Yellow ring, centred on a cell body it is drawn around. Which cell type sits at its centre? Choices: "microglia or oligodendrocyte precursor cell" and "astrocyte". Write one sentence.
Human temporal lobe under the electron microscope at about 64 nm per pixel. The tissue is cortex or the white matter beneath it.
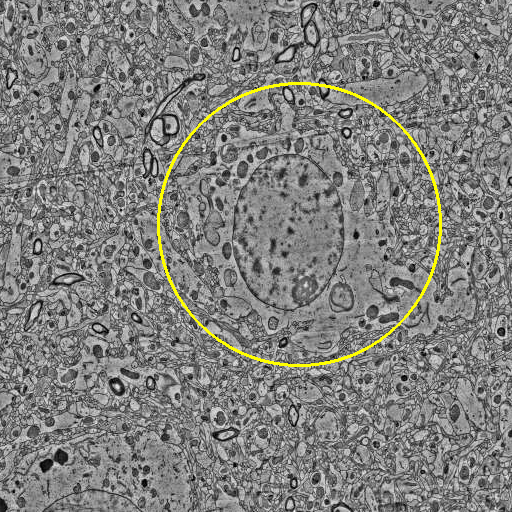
At the centre of the ring sits an astrocyte.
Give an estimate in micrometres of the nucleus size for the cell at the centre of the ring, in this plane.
Approximately 10 by 7 micrometers in this plane.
